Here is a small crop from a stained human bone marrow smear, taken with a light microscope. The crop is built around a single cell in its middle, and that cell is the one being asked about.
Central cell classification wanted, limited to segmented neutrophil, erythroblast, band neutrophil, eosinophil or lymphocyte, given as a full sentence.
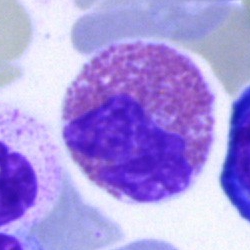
The cell found in the middle of this crop is an eosinophil.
